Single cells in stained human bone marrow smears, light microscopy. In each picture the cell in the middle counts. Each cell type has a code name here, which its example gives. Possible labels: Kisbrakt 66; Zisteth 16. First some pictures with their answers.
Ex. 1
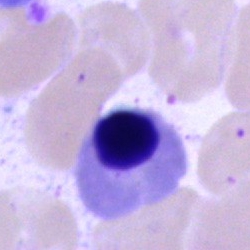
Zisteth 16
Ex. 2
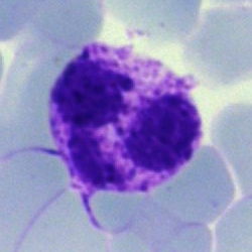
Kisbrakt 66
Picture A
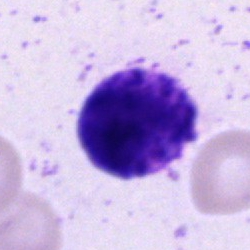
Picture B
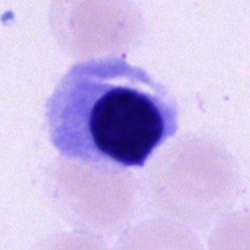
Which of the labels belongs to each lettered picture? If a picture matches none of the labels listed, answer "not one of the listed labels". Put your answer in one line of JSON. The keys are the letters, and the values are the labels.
{"A": "Kisbrakt 66", "B": "Zisteth 16"}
